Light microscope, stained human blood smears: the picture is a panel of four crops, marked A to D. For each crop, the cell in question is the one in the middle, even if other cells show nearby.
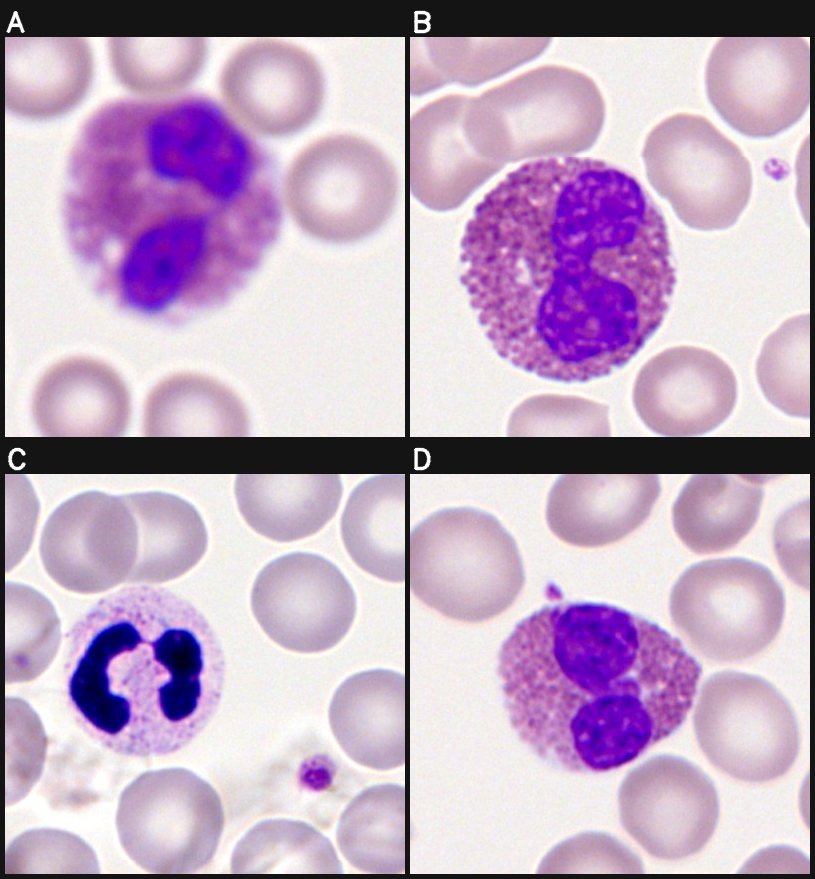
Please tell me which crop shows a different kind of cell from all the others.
C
